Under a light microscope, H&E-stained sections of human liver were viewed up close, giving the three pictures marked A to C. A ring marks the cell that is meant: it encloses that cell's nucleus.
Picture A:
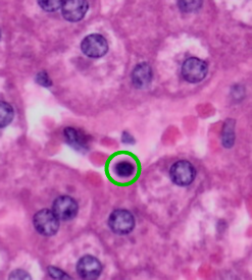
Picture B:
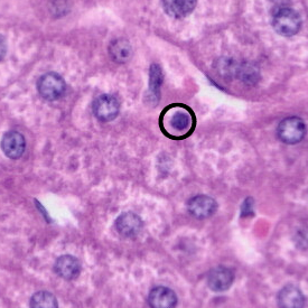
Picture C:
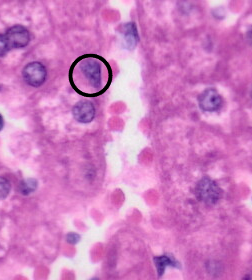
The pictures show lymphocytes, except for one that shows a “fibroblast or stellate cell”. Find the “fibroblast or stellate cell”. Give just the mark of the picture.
C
